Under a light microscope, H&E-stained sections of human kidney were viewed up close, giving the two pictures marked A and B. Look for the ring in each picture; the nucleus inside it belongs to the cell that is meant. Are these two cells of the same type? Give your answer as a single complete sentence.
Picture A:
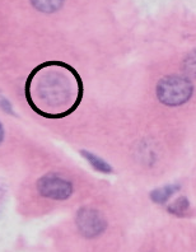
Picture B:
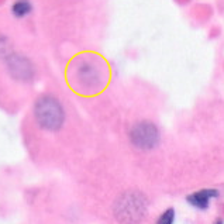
Yes, they are the same type: both are proximal tubule cells.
